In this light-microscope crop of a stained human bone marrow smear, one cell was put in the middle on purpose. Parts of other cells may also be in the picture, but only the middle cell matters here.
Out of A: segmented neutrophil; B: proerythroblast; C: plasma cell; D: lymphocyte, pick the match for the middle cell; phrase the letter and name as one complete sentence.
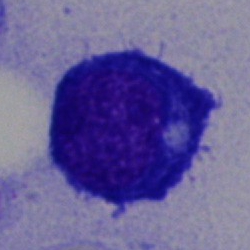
Option B correctly names the cell in the middle as a proerythroblast.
